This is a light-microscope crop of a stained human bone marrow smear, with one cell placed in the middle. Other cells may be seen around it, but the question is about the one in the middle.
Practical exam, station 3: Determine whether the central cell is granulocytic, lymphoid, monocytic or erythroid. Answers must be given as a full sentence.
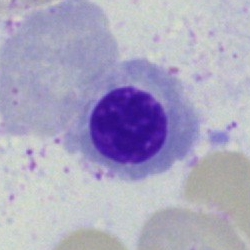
Attributed to the erythroid lineage is the centrally located cell.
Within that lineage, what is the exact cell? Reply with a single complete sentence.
Among the cells in view, the one in the middle is an erythroblast.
